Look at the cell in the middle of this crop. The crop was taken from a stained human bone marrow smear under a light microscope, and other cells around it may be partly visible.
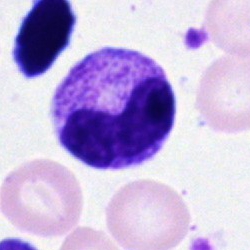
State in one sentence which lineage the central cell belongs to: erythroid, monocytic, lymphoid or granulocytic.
The cell occupying the center of the frame is part of the granulocytic lineage.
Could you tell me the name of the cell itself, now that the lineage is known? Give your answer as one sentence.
The cell marked by its central position in the crop is a band neutrophil.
